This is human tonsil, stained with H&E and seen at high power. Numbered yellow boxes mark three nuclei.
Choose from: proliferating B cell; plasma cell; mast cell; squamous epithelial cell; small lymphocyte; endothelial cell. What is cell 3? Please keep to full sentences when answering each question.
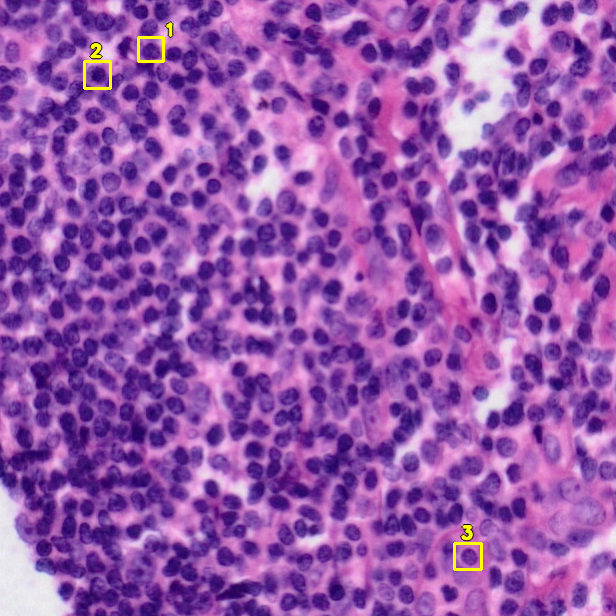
Within this field of view, the cell labelled 3 is an endothelial cell.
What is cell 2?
Number 2 among the marked cells is a small lymphocyte.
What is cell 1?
The numbered cell 1 is identified here as a small lymphocyte.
